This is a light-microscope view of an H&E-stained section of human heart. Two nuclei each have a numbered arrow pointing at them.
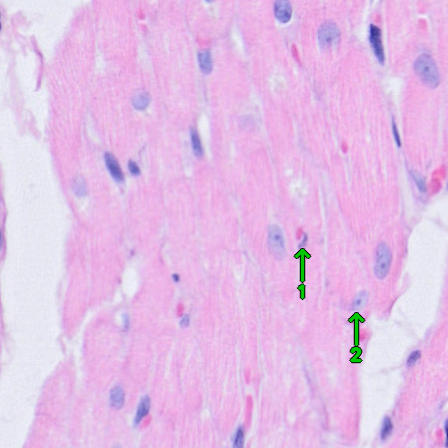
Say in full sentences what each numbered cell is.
Cell 1 is an endothelial cell and cell 2 is a cardiomyocyte.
